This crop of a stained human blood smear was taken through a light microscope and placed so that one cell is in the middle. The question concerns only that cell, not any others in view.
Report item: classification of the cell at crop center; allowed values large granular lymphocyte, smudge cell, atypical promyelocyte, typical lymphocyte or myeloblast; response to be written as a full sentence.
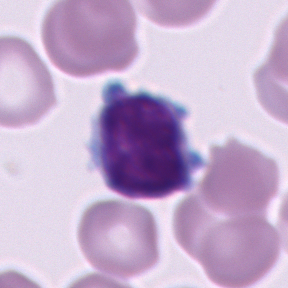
By classification, the middle cell of this crop is a typical lymphocyte.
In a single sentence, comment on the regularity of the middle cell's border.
Along the periphery, ragged stretches or projections make the outline irregular.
